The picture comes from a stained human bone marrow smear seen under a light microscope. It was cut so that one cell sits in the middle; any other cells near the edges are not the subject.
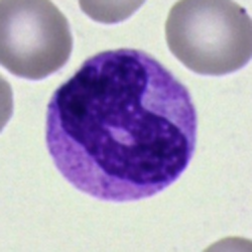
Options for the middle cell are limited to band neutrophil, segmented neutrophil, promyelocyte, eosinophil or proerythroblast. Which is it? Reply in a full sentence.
Here the centrally located cell is a segmented neutrophil.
